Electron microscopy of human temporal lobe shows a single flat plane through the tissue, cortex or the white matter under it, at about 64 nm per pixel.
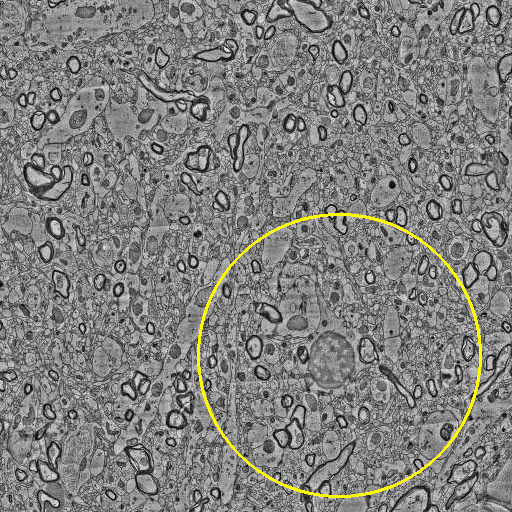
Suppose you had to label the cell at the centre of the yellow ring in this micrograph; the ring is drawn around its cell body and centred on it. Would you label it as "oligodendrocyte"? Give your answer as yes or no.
Yes, I would label it that way.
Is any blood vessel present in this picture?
No, no blood vessel shows in the picture.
